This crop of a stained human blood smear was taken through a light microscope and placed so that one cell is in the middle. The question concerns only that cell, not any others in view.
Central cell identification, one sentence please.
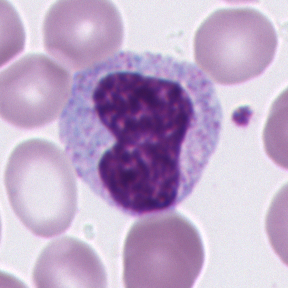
The cell of interest, located centrally, is a band neutrophil.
